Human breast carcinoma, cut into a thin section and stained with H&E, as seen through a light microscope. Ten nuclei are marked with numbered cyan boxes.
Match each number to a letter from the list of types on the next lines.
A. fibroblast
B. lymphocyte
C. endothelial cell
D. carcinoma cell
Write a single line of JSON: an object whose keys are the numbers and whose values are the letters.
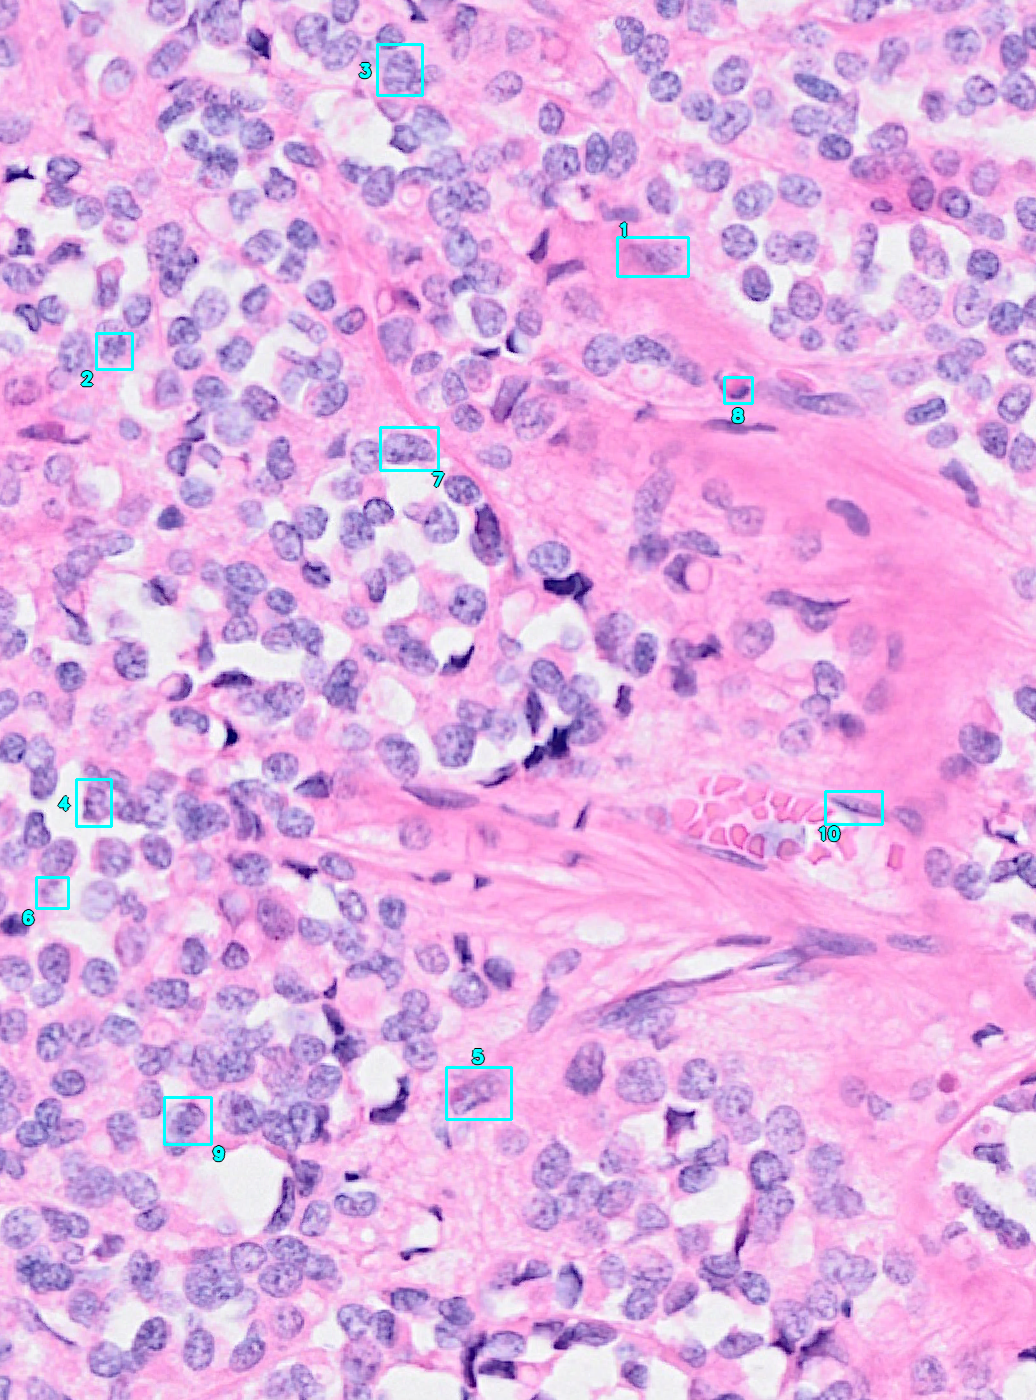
{"1": "A", "2": "D", "3": "D", "4": "D", "5": "C", "6": "D", "7": "D", "8": "C", "9": "D", "10": "C"}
